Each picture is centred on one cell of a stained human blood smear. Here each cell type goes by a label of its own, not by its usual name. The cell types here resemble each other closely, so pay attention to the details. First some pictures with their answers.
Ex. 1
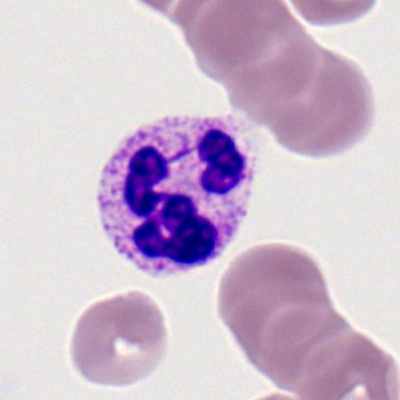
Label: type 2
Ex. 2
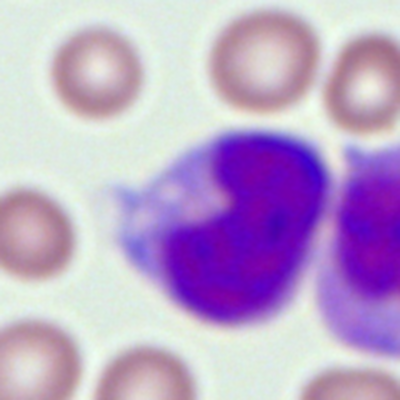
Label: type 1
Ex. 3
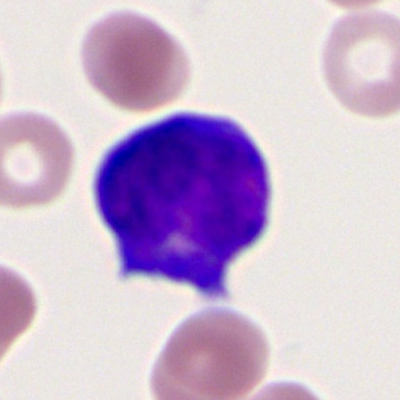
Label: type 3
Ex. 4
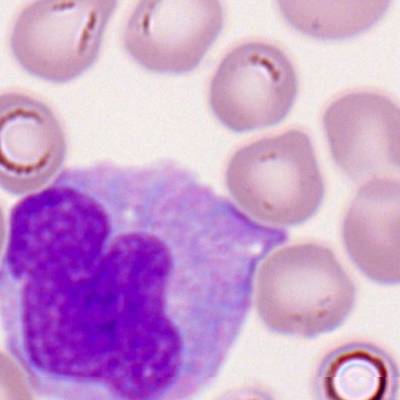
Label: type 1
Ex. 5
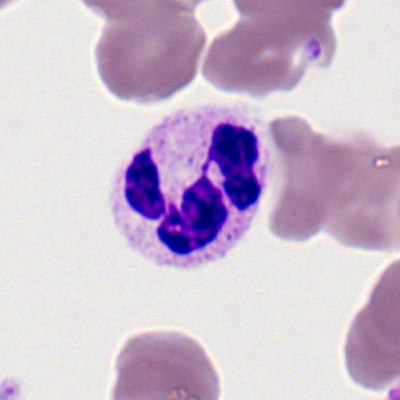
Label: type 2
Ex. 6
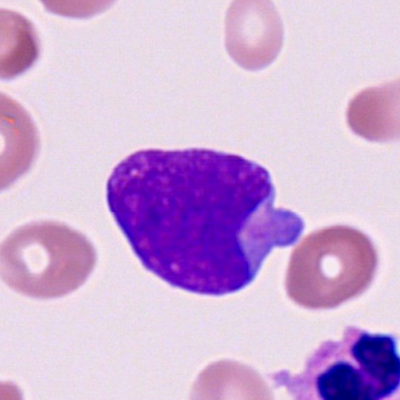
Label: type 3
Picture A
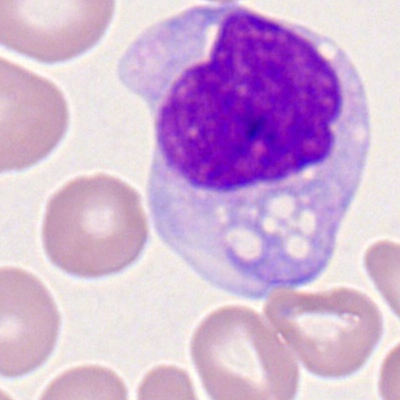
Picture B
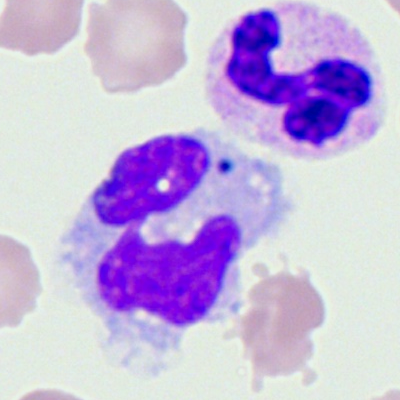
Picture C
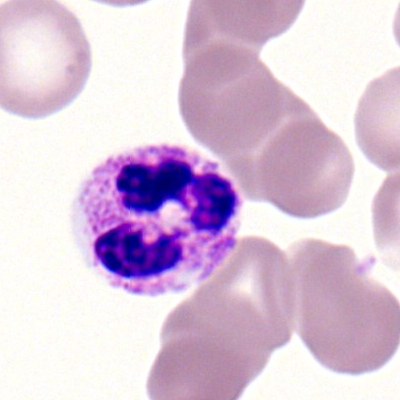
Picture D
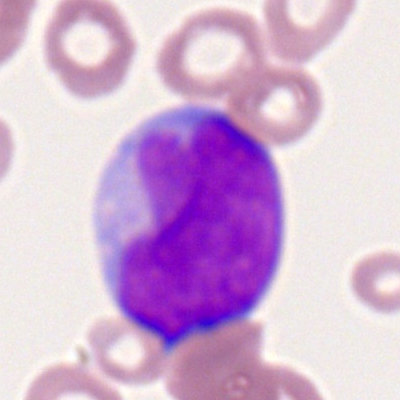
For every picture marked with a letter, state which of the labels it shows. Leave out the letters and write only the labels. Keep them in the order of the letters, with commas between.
type 1, type 1, type 2, type 3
